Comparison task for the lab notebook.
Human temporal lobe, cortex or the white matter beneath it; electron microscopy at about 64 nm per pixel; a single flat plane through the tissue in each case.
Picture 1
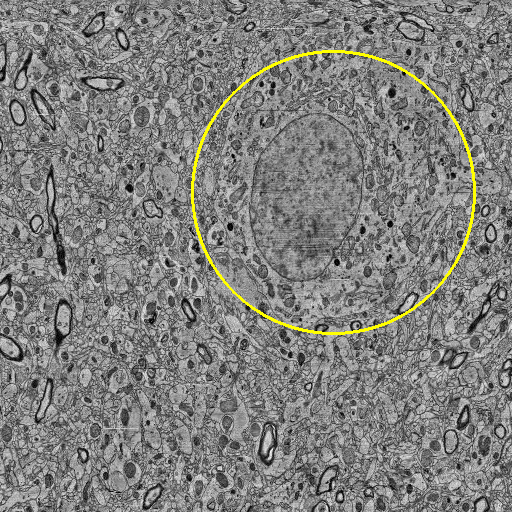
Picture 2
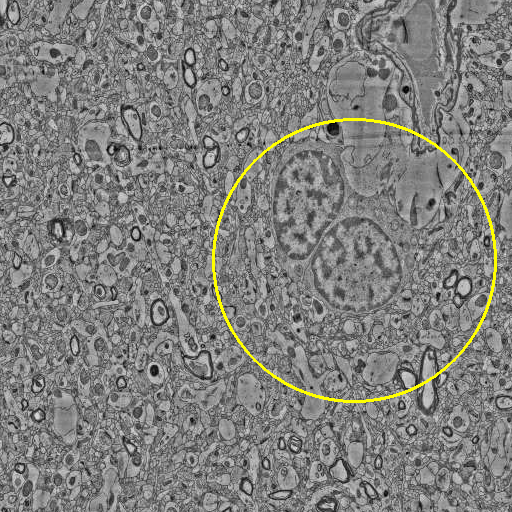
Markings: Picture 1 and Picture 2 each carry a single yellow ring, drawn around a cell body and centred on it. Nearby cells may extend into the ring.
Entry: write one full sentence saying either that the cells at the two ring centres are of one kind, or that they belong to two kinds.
The cells sitting at the ring centres in Picture 1 and Picture 2 belong to two kinds.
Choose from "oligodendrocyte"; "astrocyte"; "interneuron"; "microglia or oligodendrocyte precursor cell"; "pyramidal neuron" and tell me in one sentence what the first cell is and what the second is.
What the first ring is centred on is an interneuron; what the second ring is centred on is an oligodendrocyte.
